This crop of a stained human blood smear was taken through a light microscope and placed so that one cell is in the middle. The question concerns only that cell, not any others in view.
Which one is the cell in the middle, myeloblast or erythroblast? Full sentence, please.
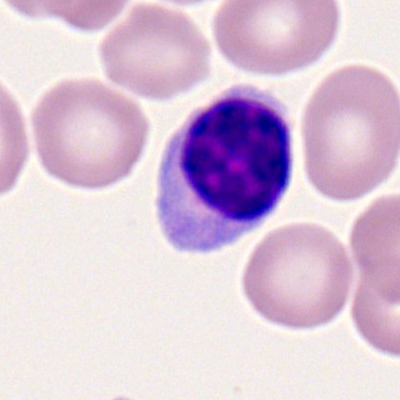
Classified as an erythroblast is the cell in the middle of this crop.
